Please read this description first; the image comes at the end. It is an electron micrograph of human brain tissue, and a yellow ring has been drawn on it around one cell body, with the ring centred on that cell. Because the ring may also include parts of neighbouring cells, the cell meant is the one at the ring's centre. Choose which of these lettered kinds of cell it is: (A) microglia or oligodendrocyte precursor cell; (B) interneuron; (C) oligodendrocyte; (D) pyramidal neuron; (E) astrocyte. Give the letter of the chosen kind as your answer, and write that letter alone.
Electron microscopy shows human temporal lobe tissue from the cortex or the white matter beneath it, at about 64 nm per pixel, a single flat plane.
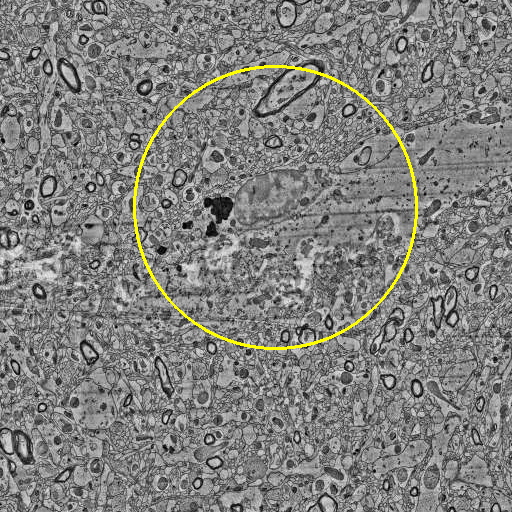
C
